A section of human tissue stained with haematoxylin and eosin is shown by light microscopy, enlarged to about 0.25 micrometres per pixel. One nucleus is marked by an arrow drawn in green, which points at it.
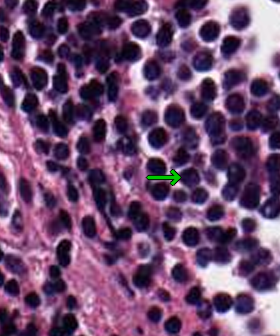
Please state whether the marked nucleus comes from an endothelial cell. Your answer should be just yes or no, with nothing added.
no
